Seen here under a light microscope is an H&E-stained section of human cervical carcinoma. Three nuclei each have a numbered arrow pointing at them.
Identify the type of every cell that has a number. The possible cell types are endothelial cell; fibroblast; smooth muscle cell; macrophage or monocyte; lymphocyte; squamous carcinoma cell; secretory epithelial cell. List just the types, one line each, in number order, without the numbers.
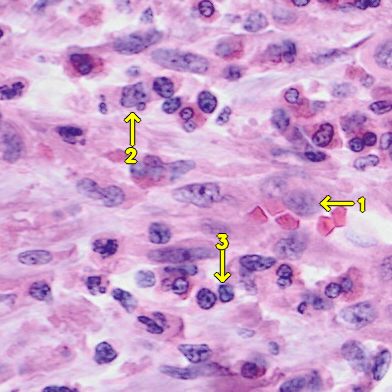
endothelial cell
macrophage or monocyte
lymphocyte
